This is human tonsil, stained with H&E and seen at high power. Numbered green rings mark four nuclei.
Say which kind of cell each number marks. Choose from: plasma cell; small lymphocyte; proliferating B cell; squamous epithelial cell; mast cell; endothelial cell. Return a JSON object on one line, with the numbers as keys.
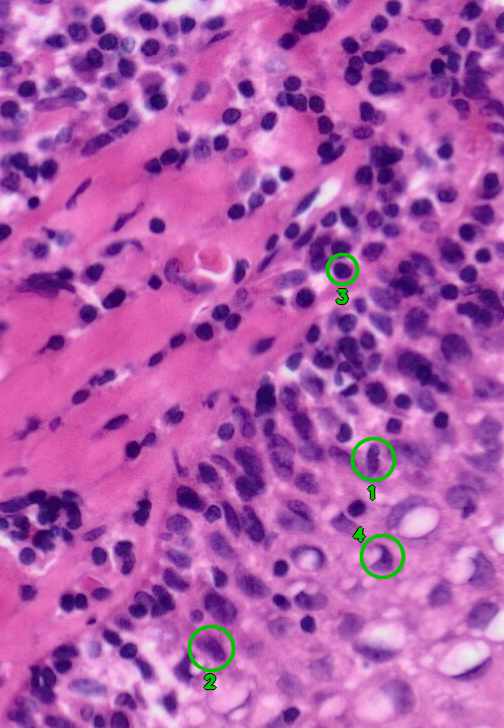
{"1": "squamous epithelial cell", "2": "squamous epithelial cell", "3": "plasma cell", "4": "squamous epithelial cell"}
